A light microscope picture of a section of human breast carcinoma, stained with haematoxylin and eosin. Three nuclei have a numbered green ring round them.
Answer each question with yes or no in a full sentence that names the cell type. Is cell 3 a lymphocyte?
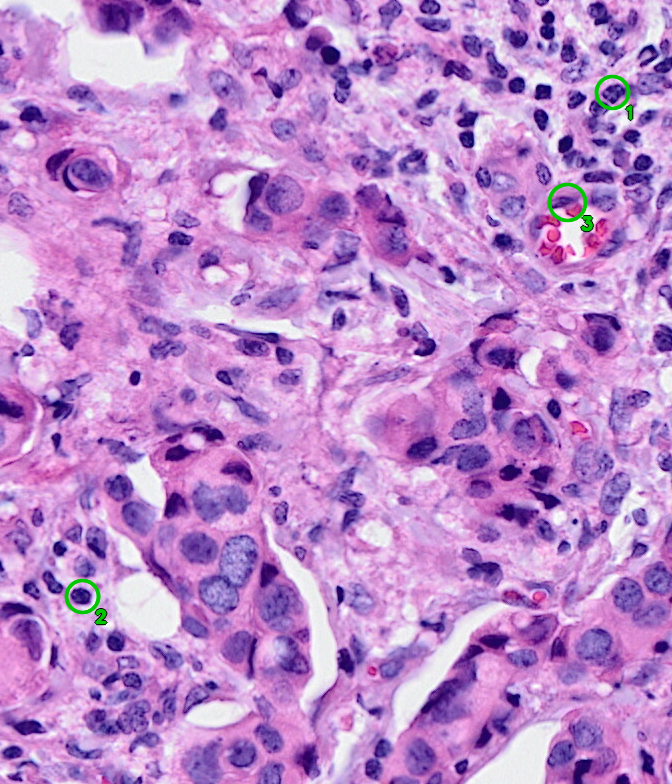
No, the cell at number 3 is an endothelial cell instead of a lymphocyte.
